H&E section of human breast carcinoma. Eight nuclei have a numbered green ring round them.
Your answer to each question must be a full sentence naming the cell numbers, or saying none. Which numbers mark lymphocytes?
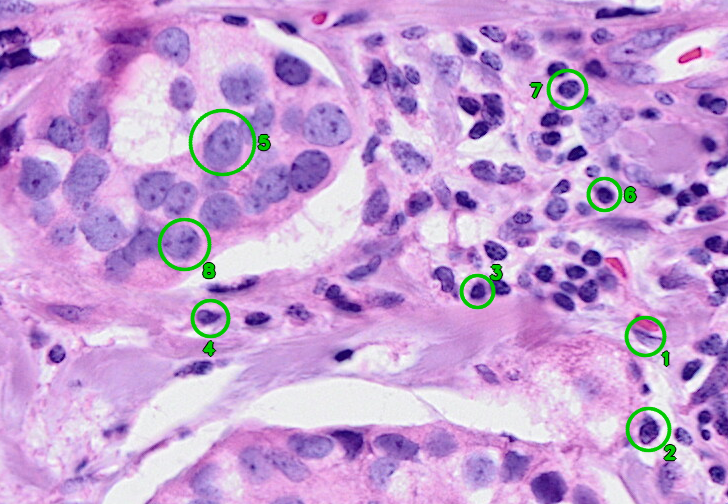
The cells labelled 2, 3, 4, 6 and 7 in this section are lymphocytes.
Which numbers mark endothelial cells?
The numbered cell that is an endothelial cell is cell 1, and it is the only one.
